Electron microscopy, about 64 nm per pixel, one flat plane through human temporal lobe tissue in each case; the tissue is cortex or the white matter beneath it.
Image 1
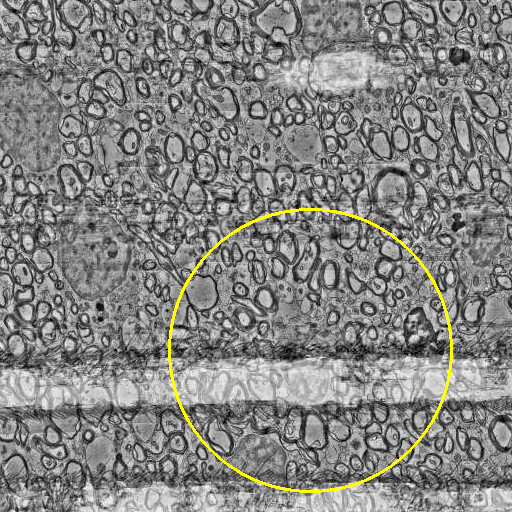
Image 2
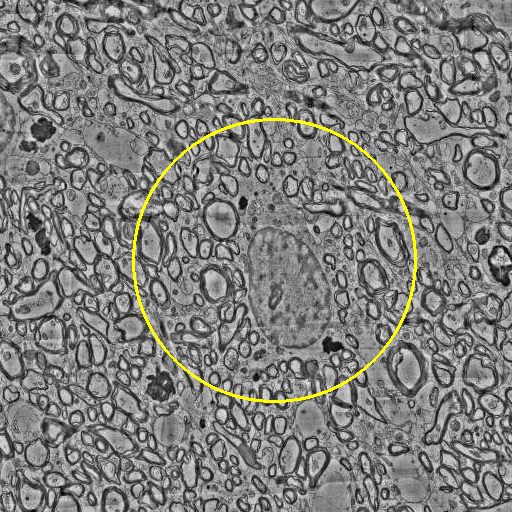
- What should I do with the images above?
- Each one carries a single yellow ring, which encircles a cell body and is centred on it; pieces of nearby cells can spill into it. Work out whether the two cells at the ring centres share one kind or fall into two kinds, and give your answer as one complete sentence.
The ring-centre cells of Image 1 and Image 2 share one kind.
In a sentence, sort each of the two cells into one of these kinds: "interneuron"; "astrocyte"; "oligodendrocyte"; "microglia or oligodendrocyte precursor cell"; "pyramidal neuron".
Each of the ringed cells, first and second, is an oligodendrocyte.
